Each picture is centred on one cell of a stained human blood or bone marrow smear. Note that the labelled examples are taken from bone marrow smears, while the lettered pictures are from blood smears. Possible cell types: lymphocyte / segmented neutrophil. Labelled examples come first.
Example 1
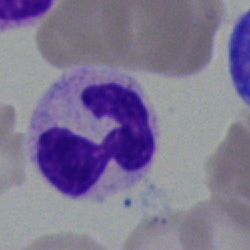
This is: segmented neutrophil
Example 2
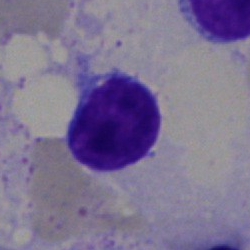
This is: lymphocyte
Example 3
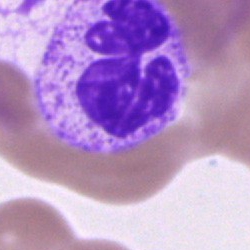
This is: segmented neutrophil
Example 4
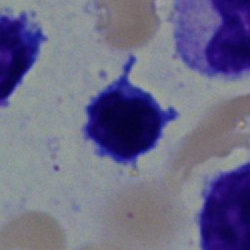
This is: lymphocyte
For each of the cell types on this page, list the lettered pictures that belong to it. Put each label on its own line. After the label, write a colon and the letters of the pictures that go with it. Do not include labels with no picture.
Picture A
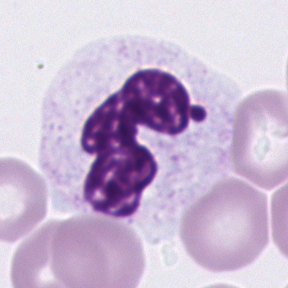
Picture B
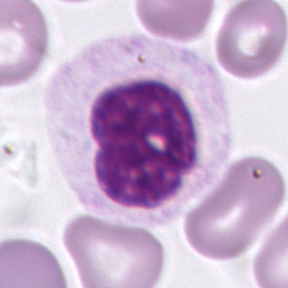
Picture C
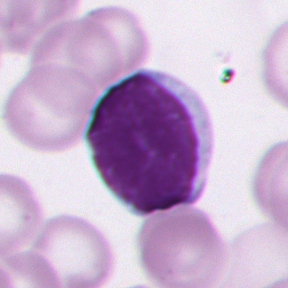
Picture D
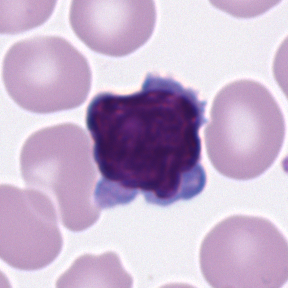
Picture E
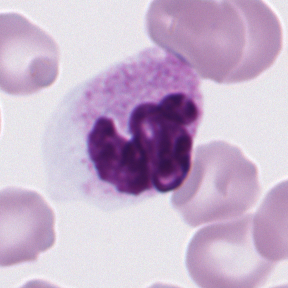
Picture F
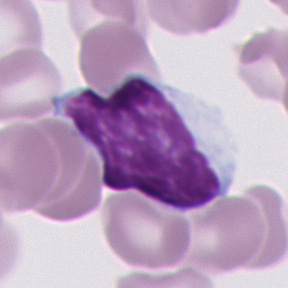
lymphocyte: C, D, F
segmented neutrophil: A, B, E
